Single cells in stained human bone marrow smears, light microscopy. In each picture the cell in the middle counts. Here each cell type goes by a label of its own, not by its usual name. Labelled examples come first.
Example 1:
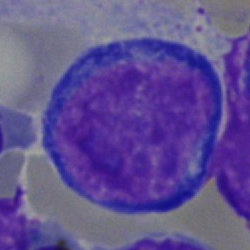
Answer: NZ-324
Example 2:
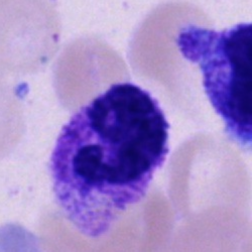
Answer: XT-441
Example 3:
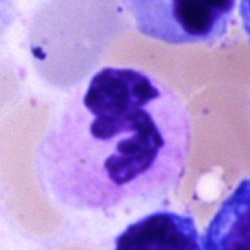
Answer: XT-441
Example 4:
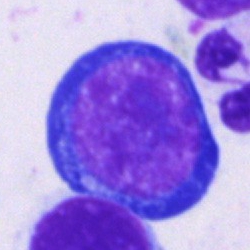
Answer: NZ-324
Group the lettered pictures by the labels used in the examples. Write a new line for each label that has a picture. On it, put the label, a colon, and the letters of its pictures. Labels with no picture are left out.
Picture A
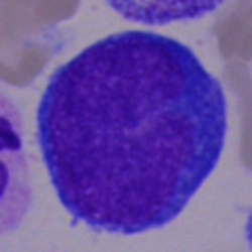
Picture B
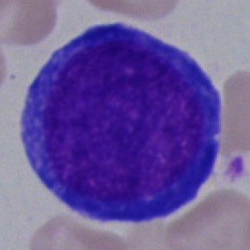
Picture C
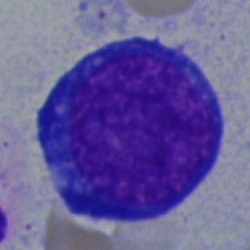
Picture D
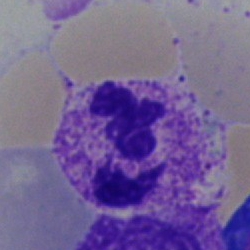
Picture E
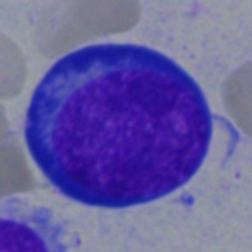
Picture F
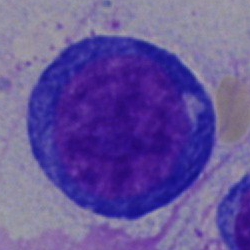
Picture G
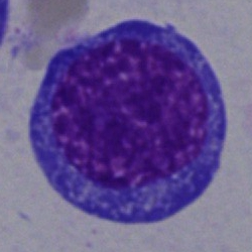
NZ-324: A, B, C, E, F, G
XT-441: D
